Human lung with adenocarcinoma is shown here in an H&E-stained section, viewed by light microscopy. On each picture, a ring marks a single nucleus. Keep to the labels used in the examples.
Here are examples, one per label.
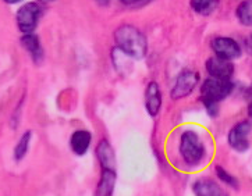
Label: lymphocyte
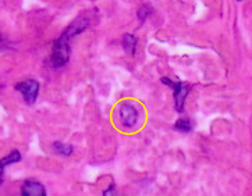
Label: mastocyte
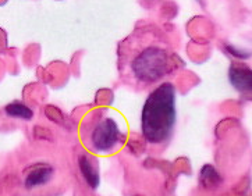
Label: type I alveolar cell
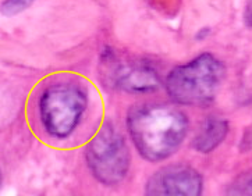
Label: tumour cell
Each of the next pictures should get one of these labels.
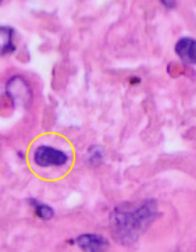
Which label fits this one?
lymphocyte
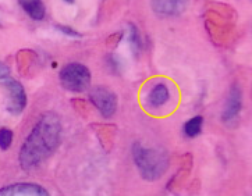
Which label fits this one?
mastocyte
